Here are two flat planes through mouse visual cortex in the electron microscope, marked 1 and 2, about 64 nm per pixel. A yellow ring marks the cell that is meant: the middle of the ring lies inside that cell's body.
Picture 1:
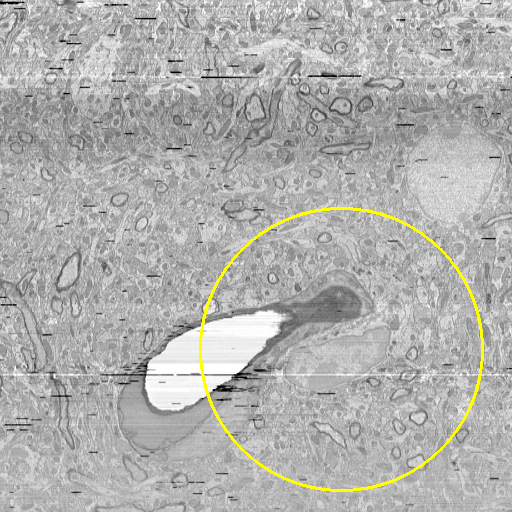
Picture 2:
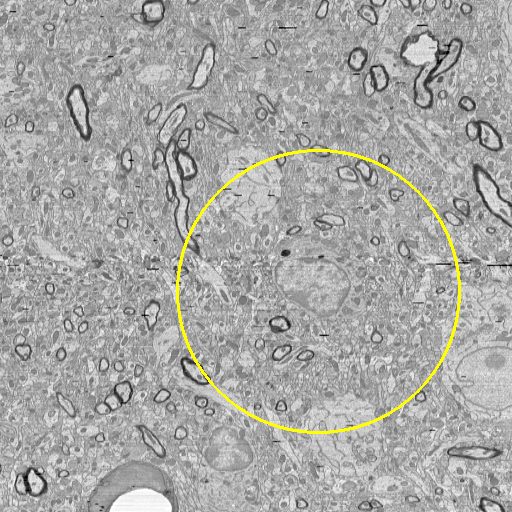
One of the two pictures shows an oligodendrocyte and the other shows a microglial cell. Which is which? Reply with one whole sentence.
Picture 1 shows a microglial cell and picture 2 shows an oligodendrocyte.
